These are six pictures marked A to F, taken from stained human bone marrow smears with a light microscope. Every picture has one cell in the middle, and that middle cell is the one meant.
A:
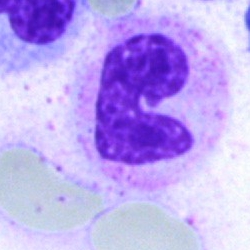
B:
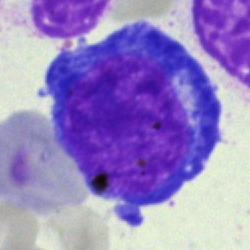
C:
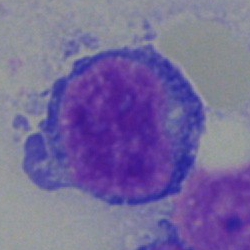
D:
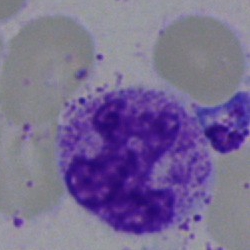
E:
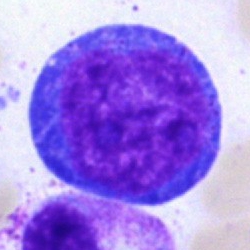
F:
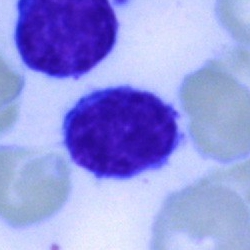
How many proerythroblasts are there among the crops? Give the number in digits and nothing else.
3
